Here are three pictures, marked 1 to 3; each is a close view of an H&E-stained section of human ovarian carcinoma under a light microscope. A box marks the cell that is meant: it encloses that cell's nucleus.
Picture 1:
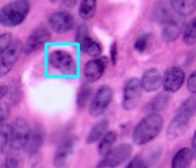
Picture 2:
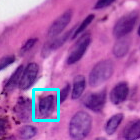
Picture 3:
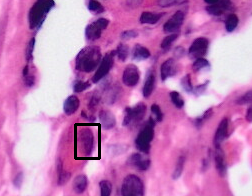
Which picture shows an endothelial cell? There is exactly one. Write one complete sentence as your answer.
Picture 3 is the one that shows the endothelial cell.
